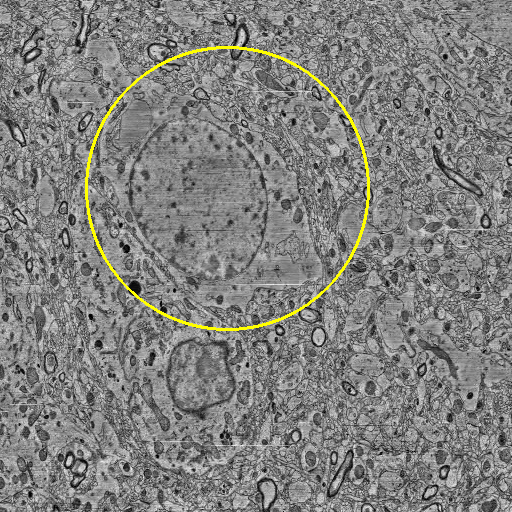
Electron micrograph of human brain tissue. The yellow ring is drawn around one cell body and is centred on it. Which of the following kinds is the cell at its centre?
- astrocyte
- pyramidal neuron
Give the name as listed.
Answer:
astrocyte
